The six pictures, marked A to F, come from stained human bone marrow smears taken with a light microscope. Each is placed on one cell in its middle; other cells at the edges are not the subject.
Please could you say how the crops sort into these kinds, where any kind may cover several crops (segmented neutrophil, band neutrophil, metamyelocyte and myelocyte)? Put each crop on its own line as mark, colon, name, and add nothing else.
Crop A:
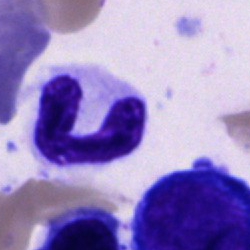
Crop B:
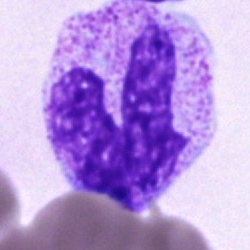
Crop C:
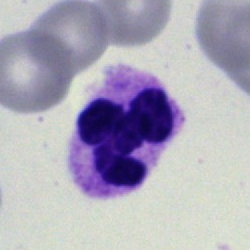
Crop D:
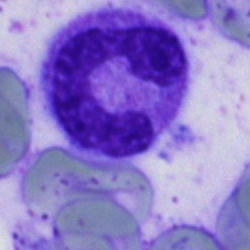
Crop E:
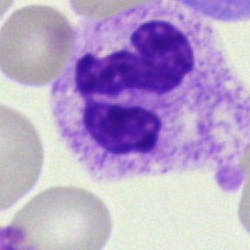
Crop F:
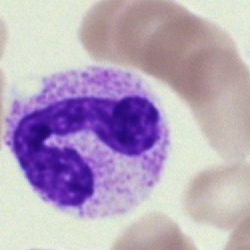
A: band neutrophil
B: band neutrophil
C: segmented neutrophil
D: band neutrophil
E: segmented neutrophil
F: band neutrophil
